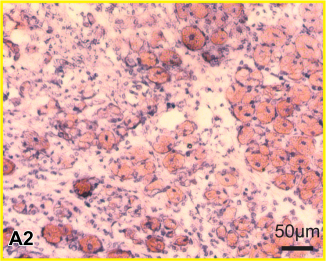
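This is damaged skeletal muscle with infiltration of inflammatory cells and scattered small regenerating myofibers. Numerous small dark purple nuclei are spread through a pale, loose interstitium. Interspersed are small, round, pink-orange fiber profiles, some with a nucleus in the centre. Normal tightly packed fiber architecture is lost.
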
